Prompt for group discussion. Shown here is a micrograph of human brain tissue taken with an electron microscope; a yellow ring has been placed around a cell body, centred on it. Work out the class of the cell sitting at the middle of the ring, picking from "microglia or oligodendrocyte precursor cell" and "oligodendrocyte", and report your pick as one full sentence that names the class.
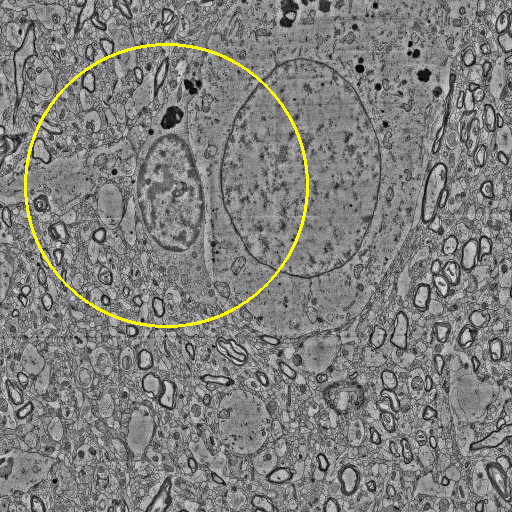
The cell sitting at the middle of the yellow ring is an oligodendrocyte.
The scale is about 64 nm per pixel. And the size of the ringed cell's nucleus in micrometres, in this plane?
The nucleus comes to approximately 7 by 4 micrometres and is clearly longer than it is wide in this plane.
